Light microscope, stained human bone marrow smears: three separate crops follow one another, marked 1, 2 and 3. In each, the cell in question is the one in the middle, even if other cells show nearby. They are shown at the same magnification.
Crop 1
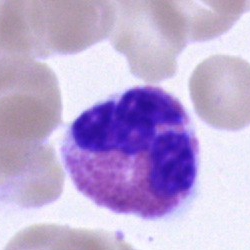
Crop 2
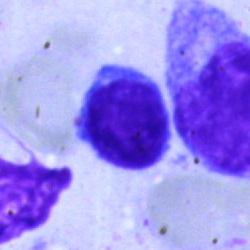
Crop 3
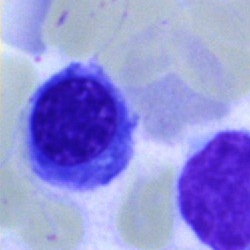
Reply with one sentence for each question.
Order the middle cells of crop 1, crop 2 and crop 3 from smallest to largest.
Going up, they run 2, 3, 1.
